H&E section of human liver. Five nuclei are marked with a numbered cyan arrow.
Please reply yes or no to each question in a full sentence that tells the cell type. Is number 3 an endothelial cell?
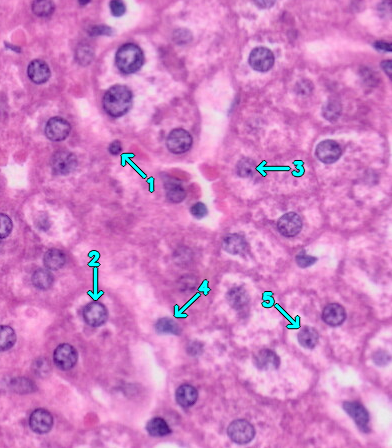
No, the correct answer for cell 3 is a hepatocyte, not an endothelial cell.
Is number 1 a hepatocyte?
No, the cell labelled number 1 is not a hepatocyte; it is a lymphocyte.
